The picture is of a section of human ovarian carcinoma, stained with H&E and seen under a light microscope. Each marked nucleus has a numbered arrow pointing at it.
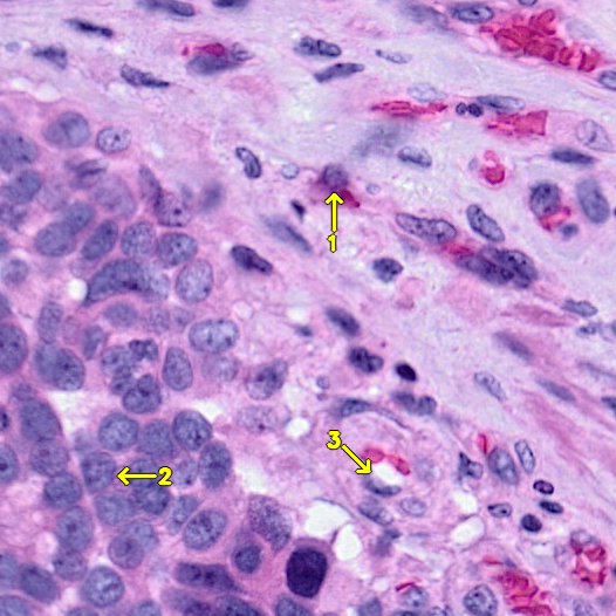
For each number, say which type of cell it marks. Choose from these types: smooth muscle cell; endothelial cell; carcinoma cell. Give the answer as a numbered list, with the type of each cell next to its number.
1. endothelial cell
2. carcinoma cell
3. endothelial cell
